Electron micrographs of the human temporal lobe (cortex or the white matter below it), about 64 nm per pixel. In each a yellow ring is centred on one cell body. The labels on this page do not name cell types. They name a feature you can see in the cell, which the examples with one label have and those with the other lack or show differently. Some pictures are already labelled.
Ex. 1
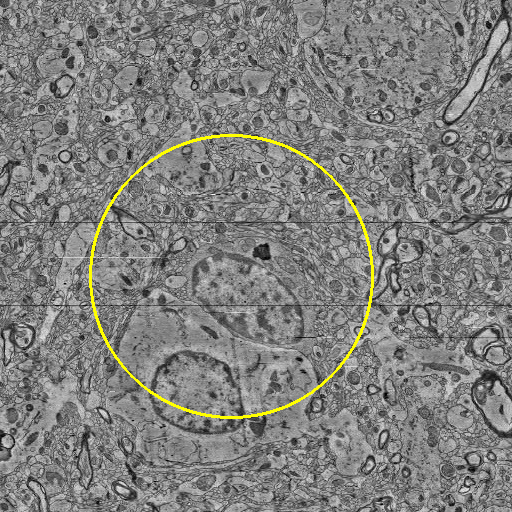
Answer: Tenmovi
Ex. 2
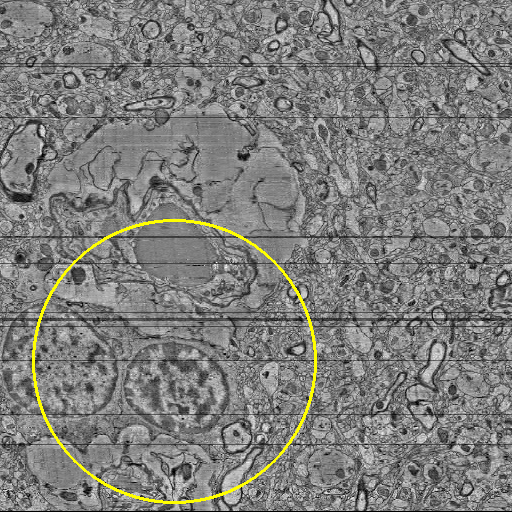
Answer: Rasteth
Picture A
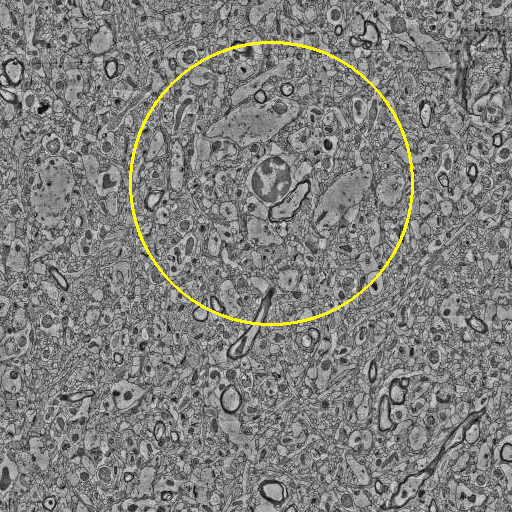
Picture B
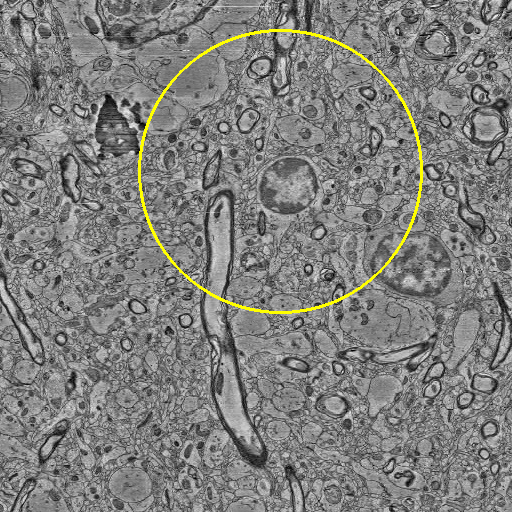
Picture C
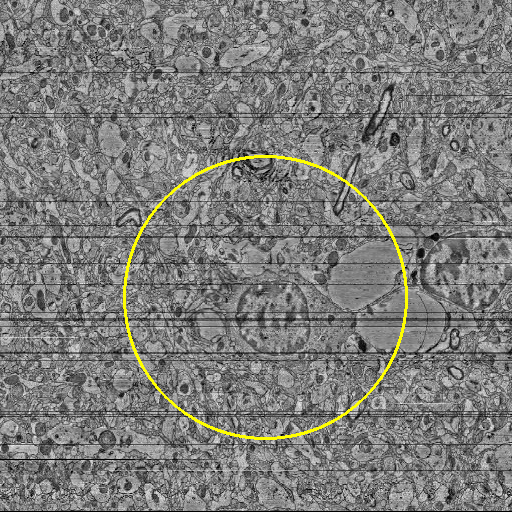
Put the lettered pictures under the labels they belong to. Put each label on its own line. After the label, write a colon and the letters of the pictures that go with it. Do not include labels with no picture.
Rasteth: A, B, C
